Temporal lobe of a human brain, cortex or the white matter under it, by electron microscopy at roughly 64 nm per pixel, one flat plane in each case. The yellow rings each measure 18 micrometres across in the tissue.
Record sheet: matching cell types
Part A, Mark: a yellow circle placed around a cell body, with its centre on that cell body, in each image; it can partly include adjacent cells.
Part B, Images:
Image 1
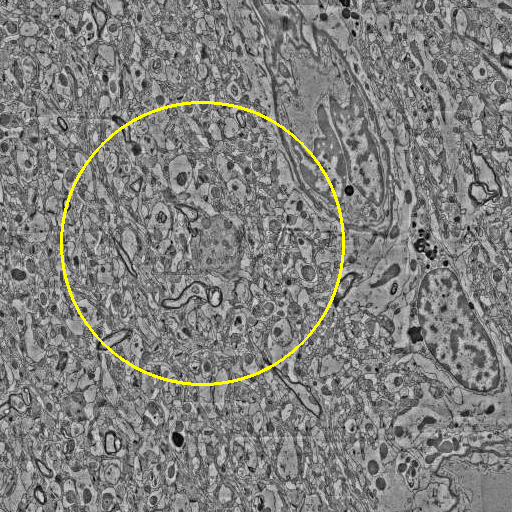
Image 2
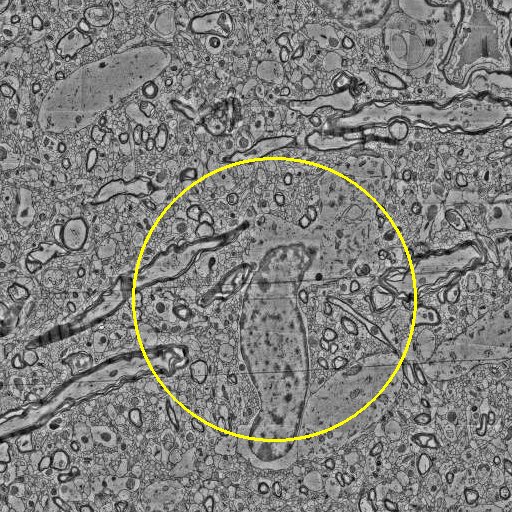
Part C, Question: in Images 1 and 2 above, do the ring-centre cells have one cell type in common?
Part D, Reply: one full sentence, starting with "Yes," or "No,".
No, the ring-centre cells of Image 1 and Image 2 are each of a separate cell type.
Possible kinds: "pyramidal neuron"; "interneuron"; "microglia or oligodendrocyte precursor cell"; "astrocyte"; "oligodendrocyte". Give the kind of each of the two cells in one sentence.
The cell in the second picture is a microglial cell or oligodendrocyte precursor cell, and that in the first is an oligodendrocyte.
